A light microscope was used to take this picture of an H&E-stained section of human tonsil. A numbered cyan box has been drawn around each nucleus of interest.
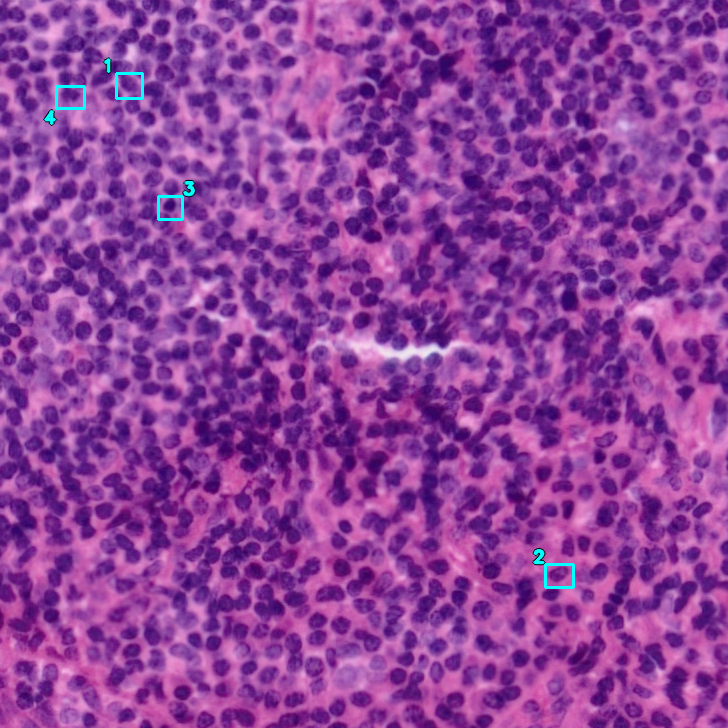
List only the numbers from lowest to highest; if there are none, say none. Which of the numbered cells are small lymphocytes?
1, 3, 4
